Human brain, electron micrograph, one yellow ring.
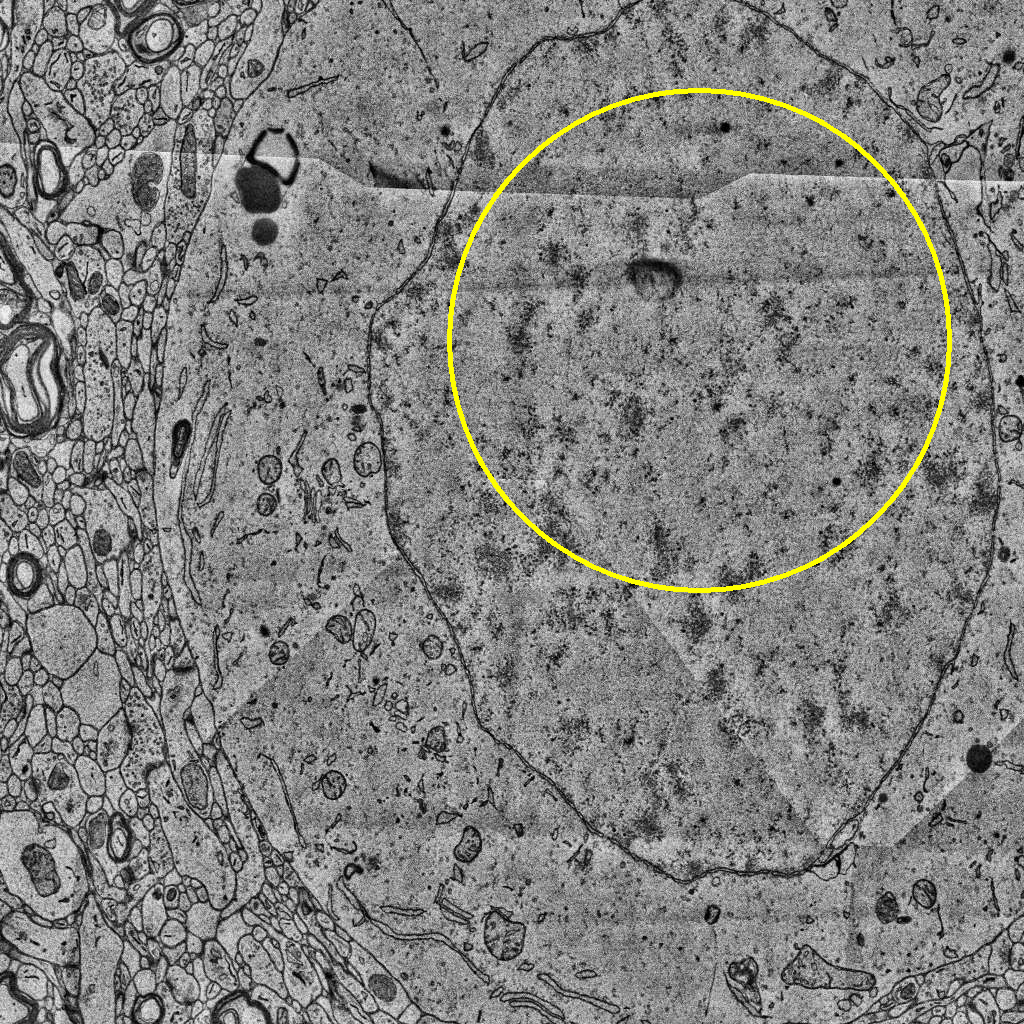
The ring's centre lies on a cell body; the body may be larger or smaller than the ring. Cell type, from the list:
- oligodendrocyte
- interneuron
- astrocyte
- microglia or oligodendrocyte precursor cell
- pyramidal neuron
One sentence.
The yellow ring's centre lies on a pyramidal neuron.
